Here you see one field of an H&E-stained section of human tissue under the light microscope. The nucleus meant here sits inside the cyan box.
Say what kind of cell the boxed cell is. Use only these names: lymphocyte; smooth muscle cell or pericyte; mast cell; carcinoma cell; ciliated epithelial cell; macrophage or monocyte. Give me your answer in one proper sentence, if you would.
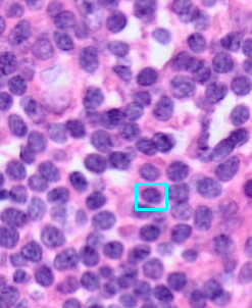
For the purposes of cell typing, the boxed cell is categorized as a lymphocyte.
